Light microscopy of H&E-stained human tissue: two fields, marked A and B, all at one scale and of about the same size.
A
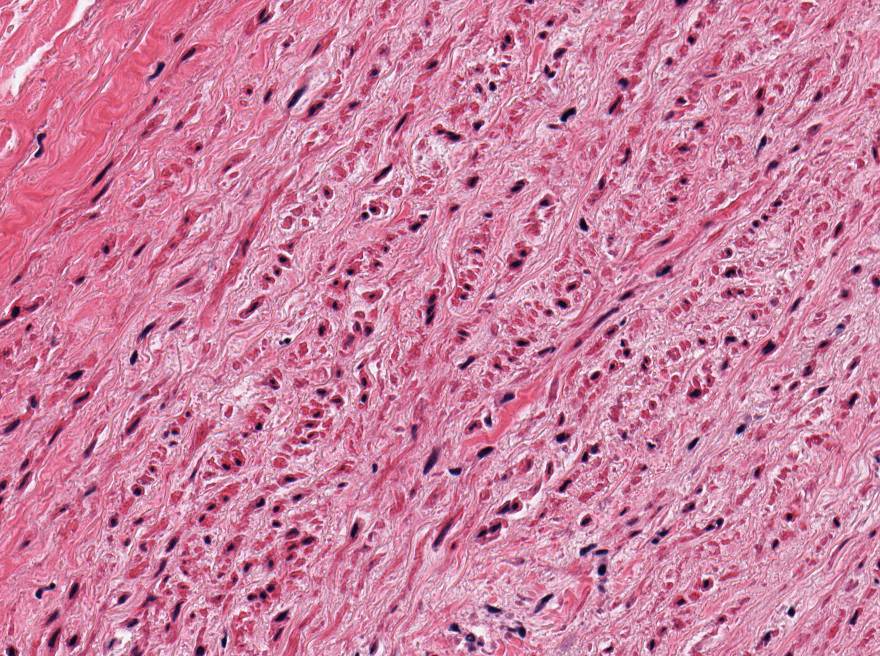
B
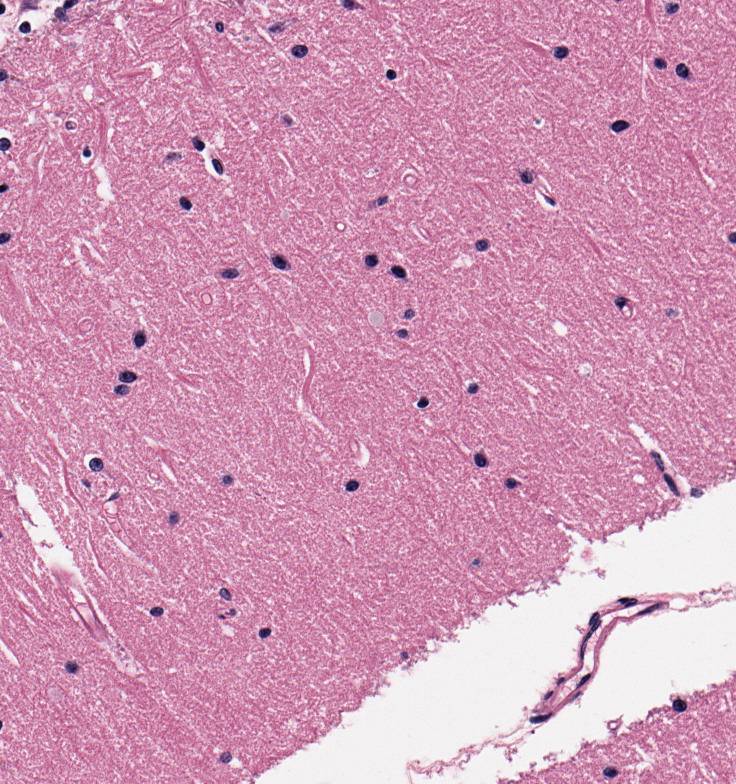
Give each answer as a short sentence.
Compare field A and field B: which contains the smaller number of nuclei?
The smaller number of nuclei is in field B.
